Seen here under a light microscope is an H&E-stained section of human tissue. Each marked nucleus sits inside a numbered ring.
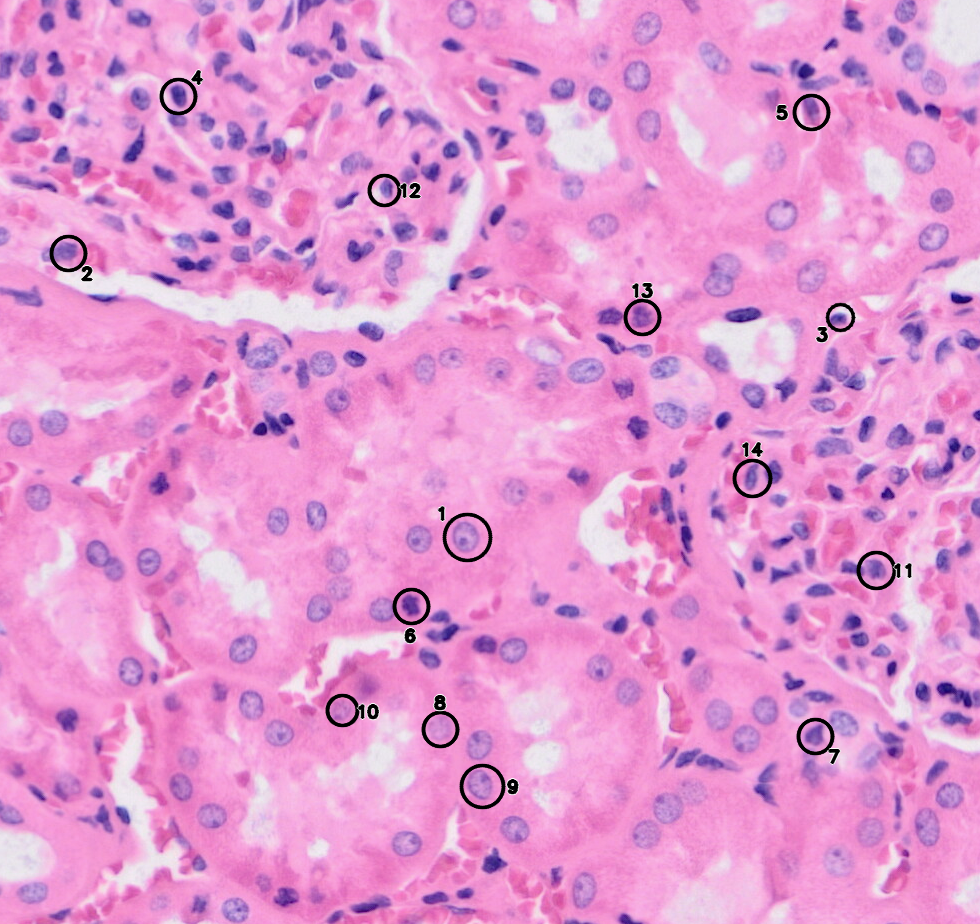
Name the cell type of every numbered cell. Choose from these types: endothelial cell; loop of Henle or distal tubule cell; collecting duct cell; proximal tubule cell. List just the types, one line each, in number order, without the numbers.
proximal tubule cell
endothelial cell
endothelial cell
endothelial cell
endothelial cell
proximal tubule cell
collecting duct cell
proximal tubule cell
proximal tubule cell
proximal tubule cell
endothelial cell
endothelial cell
proximal tubule cell
endothelial cell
